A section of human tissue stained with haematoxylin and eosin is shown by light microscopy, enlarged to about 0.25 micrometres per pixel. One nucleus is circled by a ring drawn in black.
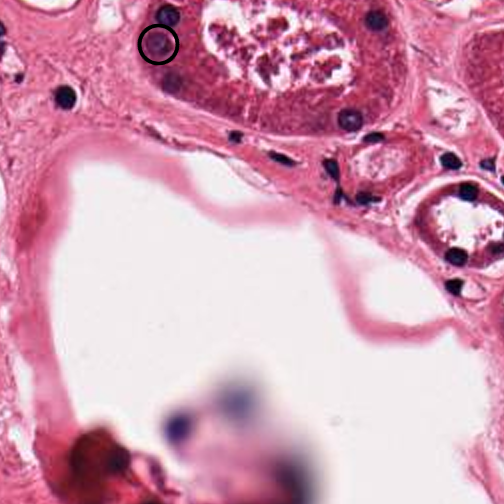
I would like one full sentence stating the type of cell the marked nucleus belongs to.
Belonging to a proximal tubule cell is the marked nucleus.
